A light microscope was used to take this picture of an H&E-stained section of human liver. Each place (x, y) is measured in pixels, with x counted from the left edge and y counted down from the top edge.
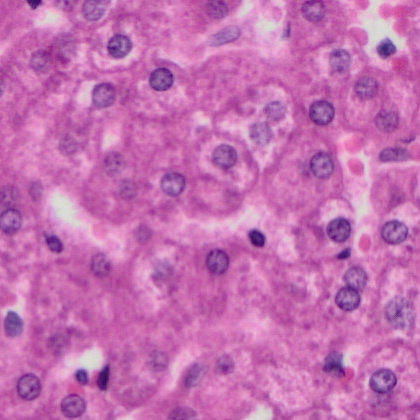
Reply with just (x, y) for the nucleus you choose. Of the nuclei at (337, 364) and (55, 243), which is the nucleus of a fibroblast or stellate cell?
(55, 243)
